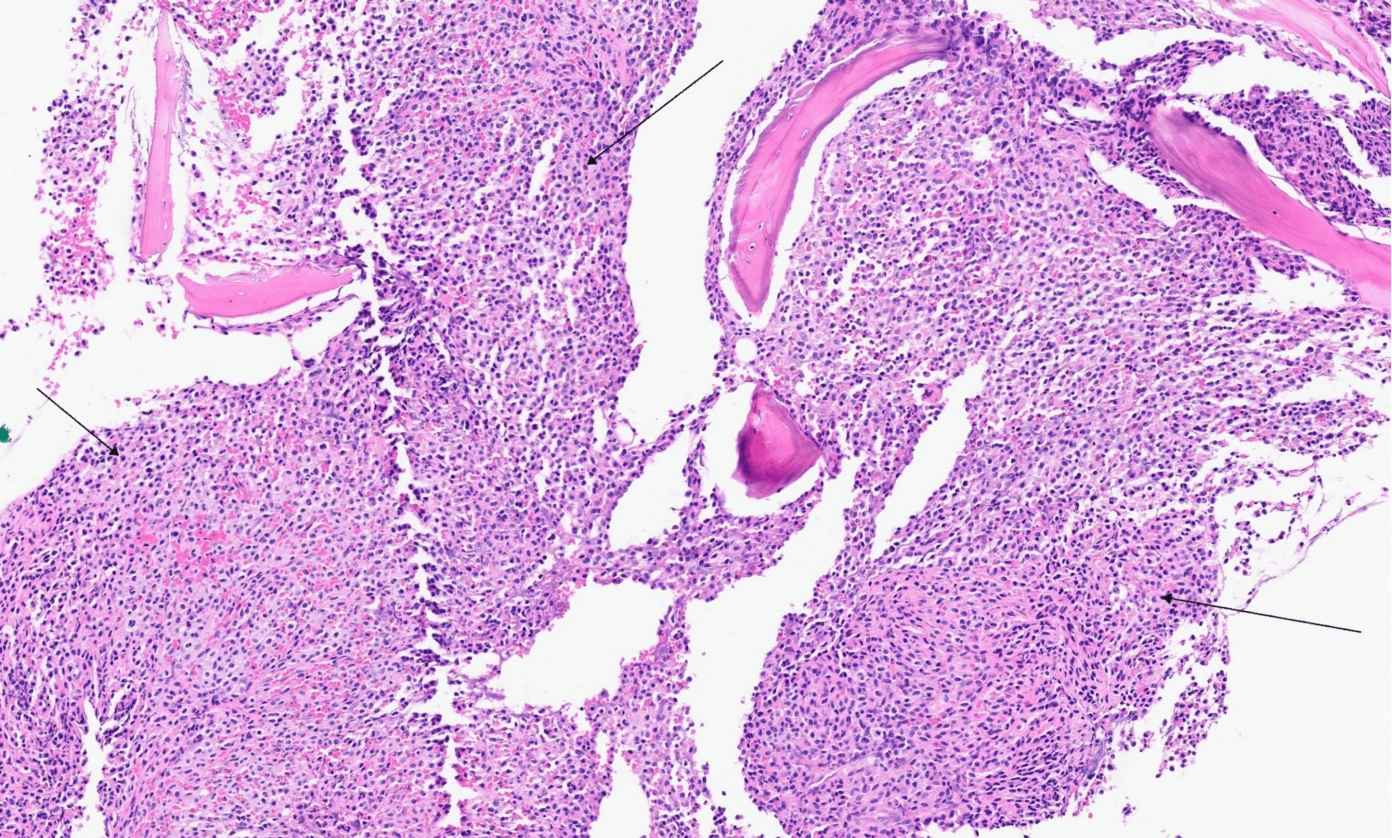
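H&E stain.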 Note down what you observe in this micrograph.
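Dense, compact aggregates of spindle-shaped cells lie between thin pink bony trabeculae and fill much of the field. Within these aggregates the cells have elongated, oval to spindled purple nuclei and pale, lightly pink cytoplasm. Between the aggregates there are looser areas with scattered round cells and some red blood cells. The trabeculae are bright pink, lamellar strips with small lacunae. The cohesive infiltrates of spindled cells with pale pink cytoplasm and elongated nuclei fit with infiltrating neoplastic mast cells that replace the normal marrow space between the trabeculae.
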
